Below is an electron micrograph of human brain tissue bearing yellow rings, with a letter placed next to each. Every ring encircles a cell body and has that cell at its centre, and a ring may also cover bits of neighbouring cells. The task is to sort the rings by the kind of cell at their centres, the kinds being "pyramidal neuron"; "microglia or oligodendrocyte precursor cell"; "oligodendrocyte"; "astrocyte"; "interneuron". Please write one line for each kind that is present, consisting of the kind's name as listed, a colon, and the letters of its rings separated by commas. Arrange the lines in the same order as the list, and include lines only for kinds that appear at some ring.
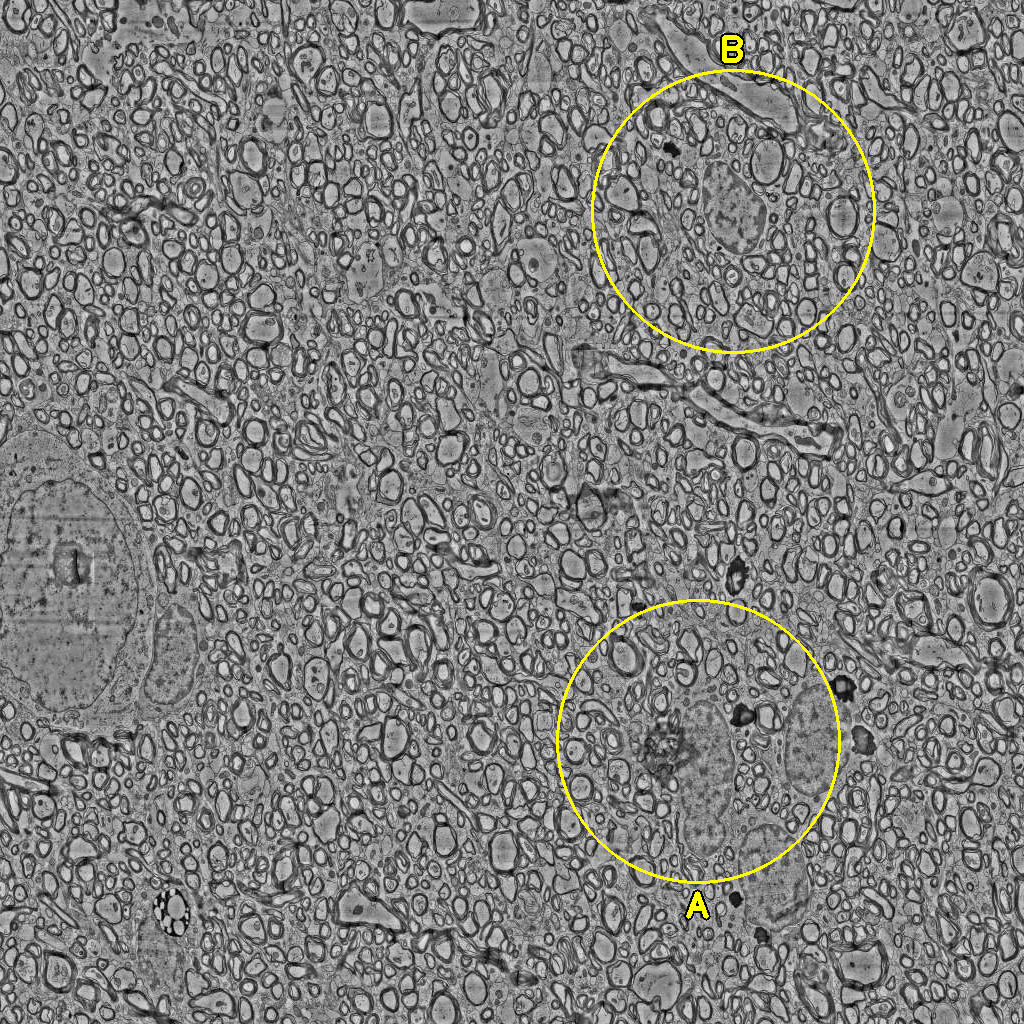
microglia or oligodendrocyte precursor cell: B
oligodendrocyte: A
